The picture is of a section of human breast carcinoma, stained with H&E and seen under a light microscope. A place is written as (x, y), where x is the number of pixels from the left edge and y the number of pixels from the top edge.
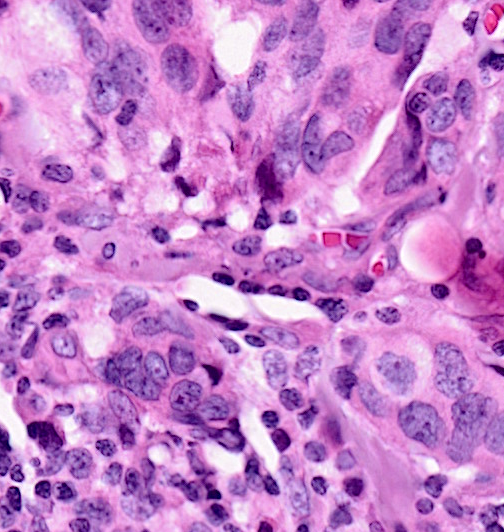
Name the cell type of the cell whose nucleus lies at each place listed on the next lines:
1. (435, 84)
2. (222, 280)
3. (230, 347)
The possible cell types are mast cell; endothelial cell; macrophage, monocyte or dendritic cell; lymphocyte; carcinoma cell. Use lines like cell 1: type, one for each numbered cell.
cell 1: carcinoma cell
cell 2: lymphocyte
cell 3: lymphocyte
